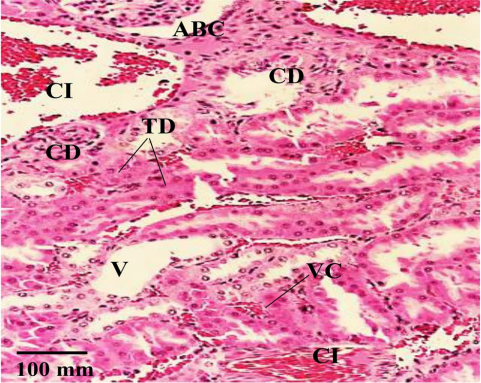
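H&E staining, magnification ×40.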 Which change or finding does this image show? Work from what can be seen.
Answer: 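Large empty spaces separate the tubules. Vessels are packed with red blood cells. Tubular lining is disorganised and detached in places. So: degenerative changes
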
